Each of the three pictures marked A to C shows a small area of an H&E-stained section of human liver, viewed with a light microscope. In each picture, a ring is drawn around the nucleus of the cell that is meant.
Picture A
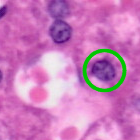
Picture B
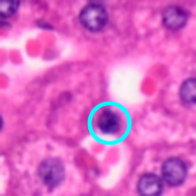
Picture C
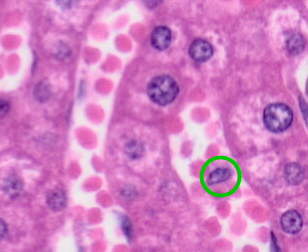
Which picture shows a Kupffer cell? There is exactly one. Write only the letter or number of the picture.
C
